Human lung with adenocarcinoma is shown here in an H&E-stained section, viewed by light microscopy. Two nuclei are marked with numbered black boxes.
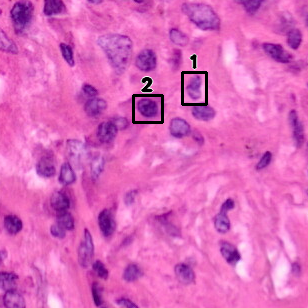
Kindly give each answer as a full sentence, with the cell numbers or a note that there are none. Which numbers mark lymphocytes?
Only the cell with the number 1 is a lymphocyte.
